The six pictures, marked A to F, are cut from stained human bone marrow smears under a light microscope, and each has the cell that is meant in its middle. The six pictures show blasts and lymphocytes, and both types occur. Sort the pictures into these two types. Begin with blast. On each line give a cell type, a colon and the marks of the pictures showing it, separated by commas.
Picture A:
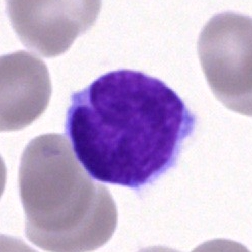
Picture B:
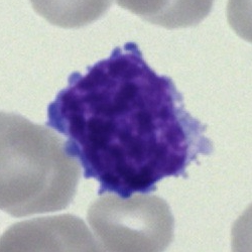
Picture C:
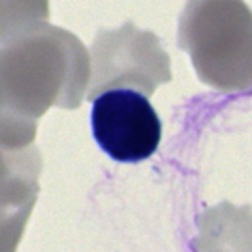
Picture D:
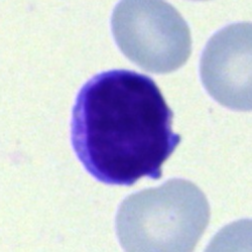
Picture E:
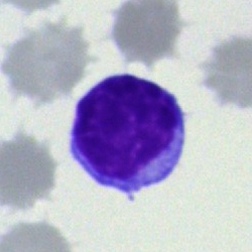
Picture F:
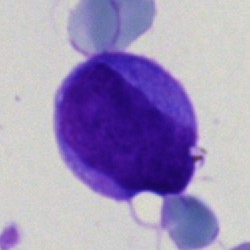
blast: B, F
lymphocyte: A, C, D, E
